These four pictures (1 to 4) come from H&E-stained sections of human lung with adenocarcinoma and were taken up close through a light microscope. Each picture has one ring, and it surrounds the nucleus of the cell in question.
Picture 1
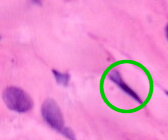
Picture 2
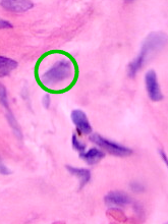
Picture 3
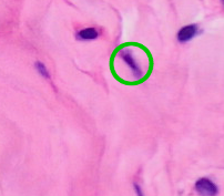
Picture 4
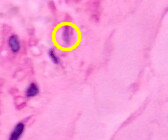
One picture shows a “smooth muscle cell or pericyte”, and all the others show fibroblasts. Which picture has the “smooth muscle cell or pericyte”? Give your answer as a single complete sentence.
Picture 4 is the one that shows the “smooth muscle cell or pericyte”.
